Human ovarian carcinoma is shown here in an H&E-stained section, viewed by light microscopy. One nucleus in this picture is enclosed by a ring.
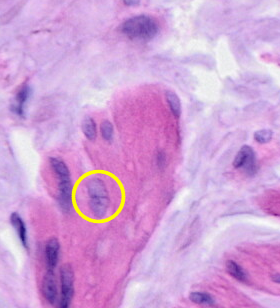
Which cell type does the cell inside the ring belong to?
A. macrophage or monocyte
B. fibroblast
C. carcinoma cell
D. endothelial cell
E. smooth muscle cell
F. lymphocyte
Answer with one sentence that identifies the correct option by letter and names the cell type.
In this case the cell inside the ring is a smooth muscle cell, so option E is correct.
